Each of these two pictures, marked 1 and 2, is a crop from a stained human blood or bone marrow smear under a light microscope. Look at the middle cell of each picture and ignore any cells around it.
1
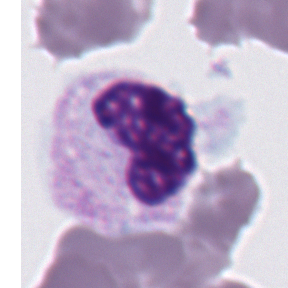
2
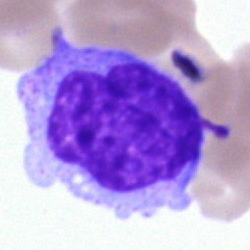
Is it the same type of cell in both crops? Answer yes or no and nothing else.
no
